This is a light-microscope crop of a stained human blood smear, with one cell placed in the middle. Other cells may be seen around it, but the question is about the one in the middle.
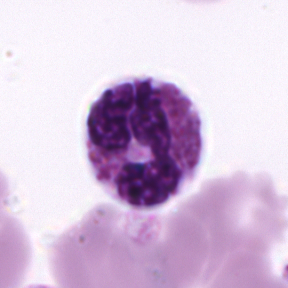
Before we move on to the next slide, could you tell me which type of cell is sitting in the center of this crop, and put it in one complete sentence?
Regarding the central cell, it is an eosinophil.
